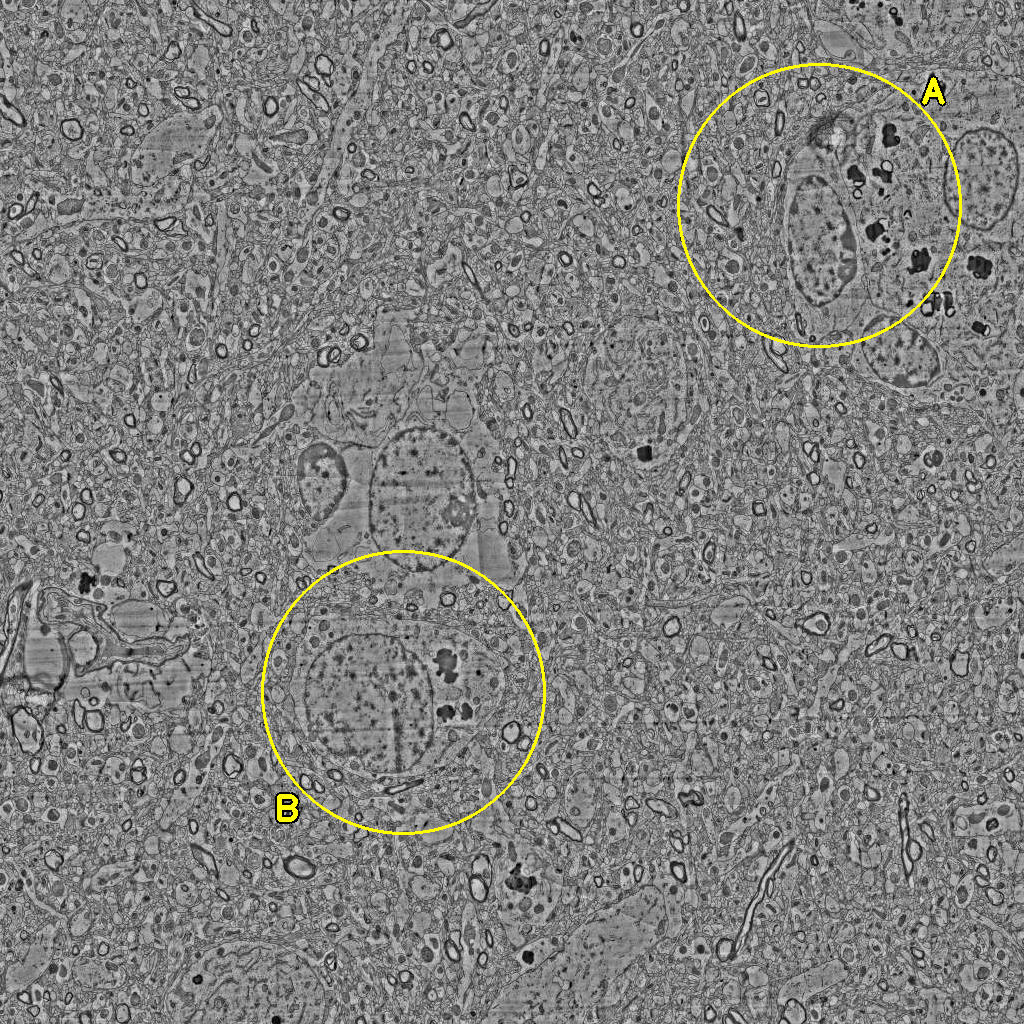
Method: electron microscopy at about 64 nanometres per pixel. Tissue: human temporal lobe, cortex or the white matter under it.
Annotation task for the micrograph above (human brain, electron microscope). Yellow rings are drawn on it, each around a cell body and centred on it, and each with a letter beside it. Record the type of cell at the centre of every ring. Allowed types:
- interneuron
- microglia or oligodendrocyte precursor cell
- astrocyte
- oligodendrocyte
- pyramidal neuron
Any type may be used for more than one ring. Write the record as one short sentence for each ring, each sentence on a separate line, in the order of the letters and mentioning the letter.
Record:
The cell centred in ring A is a microglial cell or oligodendrocyte precursor cell.
The cell centred in ring B is an interneuron.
